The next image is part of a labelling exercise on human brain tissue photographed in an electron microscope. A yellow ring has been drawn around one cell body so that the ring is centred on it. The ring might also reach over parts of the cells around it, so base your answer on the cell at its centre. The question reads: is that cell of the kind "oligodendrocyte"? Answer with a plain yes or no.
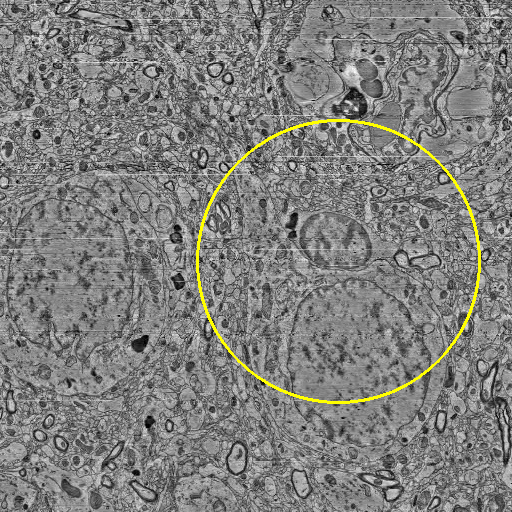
yes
